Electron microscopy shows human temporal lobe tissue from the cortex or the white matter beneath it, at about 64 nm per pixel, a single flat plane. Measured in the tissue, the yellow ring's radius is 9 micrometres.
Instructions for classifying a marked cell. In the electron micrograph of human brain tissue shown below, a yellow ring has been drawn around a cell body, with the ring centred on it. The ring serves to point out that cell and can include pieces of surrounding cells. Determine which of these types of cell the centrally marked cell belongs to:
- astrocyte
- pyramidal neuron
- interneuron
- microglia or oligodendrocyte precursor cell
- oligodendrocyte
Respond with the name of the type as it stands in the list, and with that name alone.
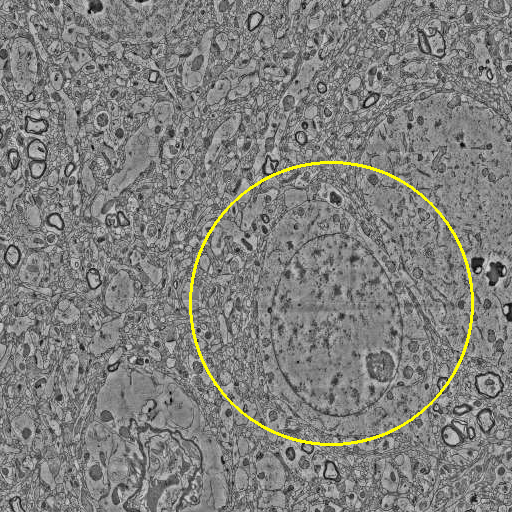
pyramidal neuron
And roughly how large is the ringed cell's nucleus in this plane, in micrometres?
Approximately 12 by 9 micrometers in this plane.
